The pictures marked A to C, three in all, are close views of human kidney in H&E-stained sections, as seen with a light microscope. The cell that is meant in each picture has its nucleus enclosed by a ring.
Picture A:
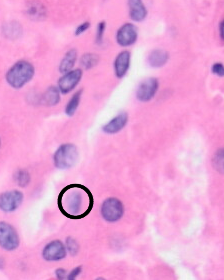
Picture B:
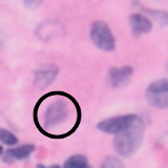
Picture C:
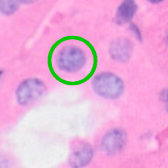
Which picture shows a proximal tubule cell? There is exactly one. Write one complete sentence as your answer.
The picture with the proximal tubule cell is B.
